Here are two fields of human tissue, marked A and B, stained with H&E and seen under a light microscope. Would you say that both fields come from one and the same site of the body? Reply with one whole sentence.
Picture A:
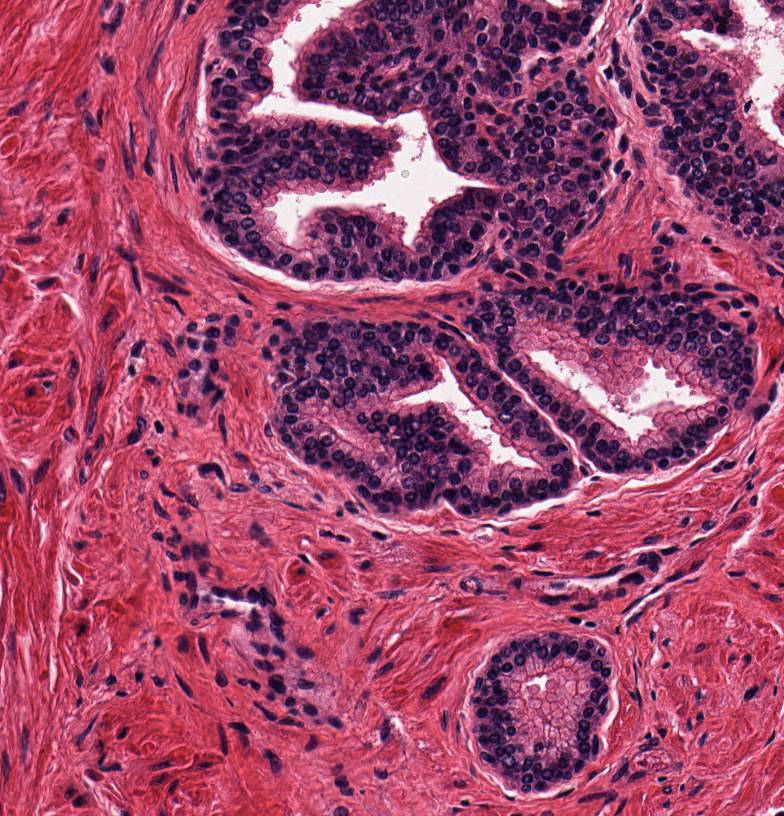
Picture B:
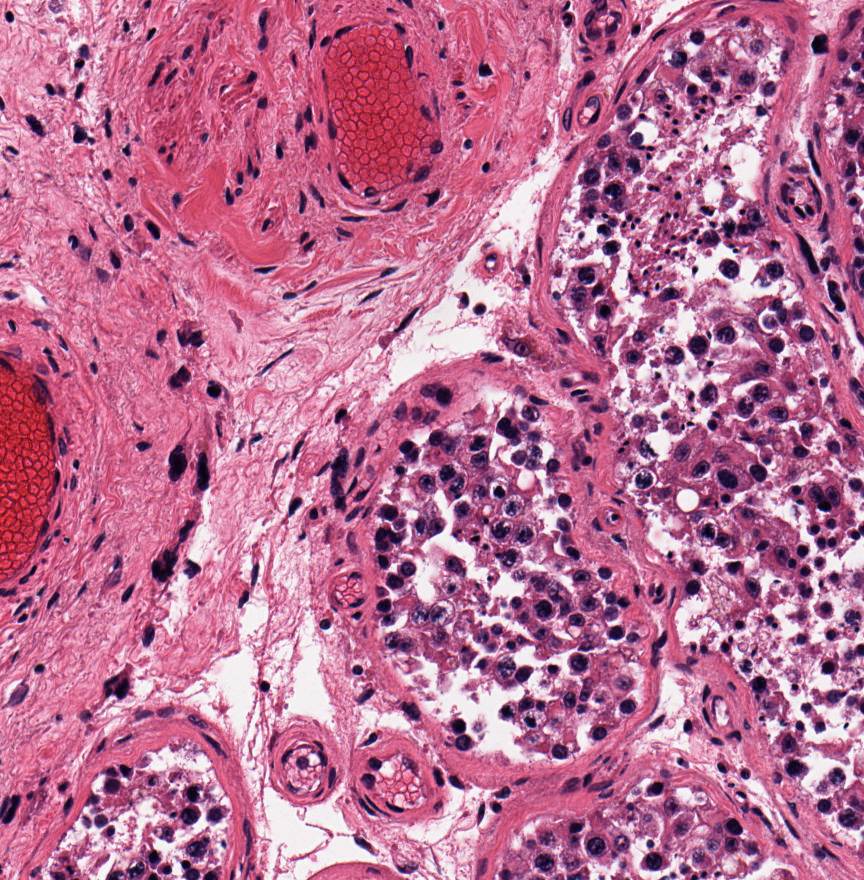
No: picture A comes from the prostate, but picture B comes from the testis.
